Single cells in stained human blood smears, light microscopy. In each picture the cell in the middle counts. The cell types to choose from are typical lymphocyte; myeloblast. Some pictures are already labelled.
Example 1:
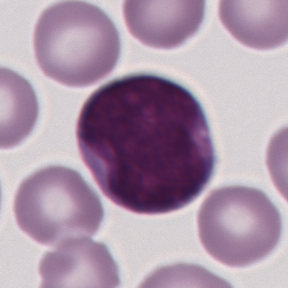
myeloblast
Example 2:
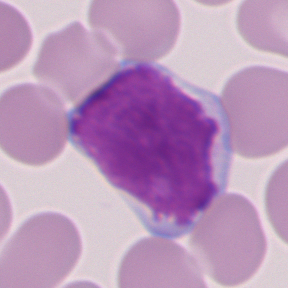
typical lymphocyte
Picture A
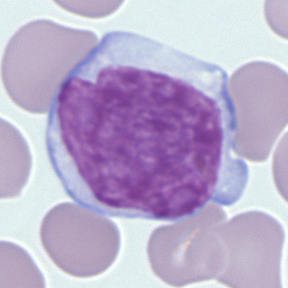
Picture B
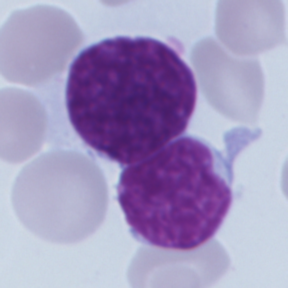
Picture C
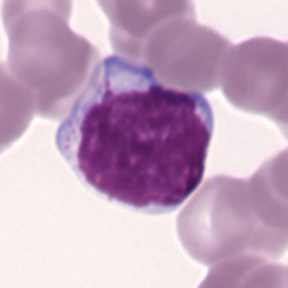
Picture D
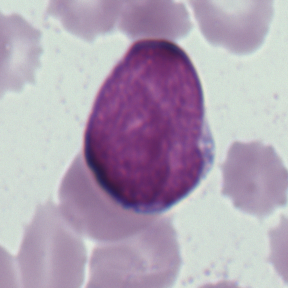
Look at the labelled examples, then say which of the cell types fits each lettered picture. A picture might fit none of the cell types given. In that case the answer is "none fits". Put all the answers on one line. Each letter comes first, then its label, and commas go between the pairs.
A myeloblast, B myeloblast, C none fits, D myeloblast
